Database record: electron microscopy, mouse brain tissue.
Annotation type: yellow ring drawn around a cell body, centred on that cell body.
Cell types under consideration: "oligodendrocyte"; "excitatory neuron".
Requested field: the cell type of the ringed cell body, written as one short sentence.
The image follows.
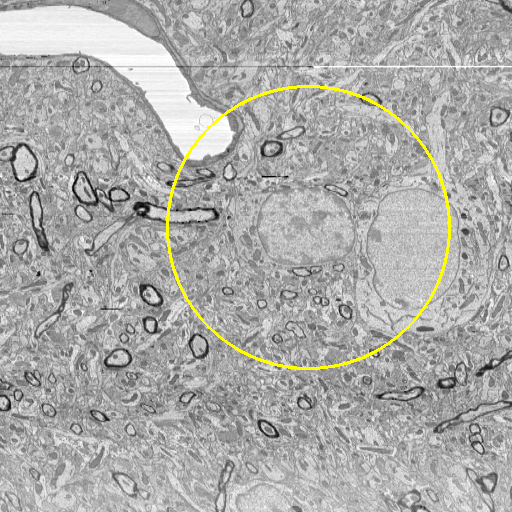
The ringed cell body represents an oligodendrocyte.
